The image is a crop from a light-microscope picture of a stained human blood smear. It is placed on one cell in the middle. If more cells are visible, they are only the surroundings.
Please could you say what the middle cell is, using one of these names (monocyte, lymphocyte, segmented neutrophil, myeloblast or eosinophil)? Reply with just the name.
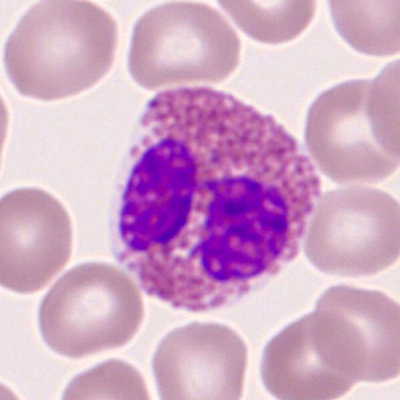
eosinophil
